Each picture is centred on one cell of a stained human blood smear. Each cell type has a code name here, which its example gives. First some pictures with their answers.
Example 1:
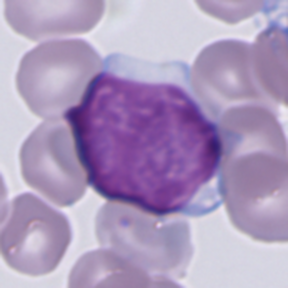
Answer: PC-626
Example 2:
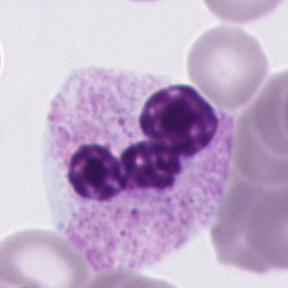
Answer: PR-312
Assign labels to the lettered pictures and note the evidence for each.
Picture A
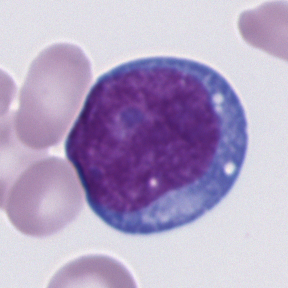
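PC-626. Reason: The cytoplasm is a deep blue.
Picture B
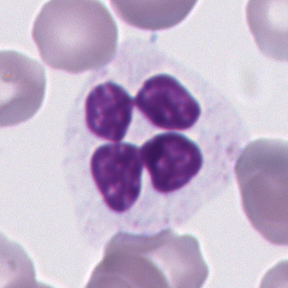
PR-312. Reason: A wide rim of very pale, almost colourless cytoplasm surrounds the nuclear lobes.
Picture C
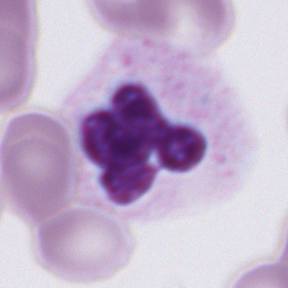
PR-312. Reason: The cytoplasm is plentiful and pale pink.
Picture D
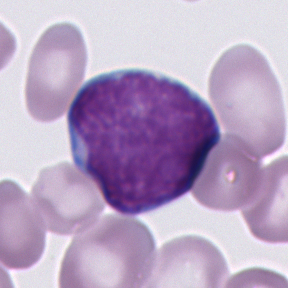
PC-626. Reason: The visible cytoplasm is blue.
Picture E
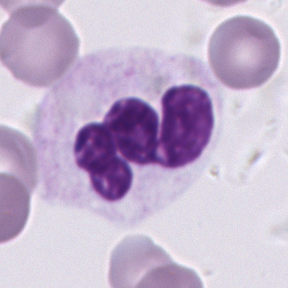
PR-312. Reason: The cytoplasm is abundant and pale pinkish-lilac.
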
